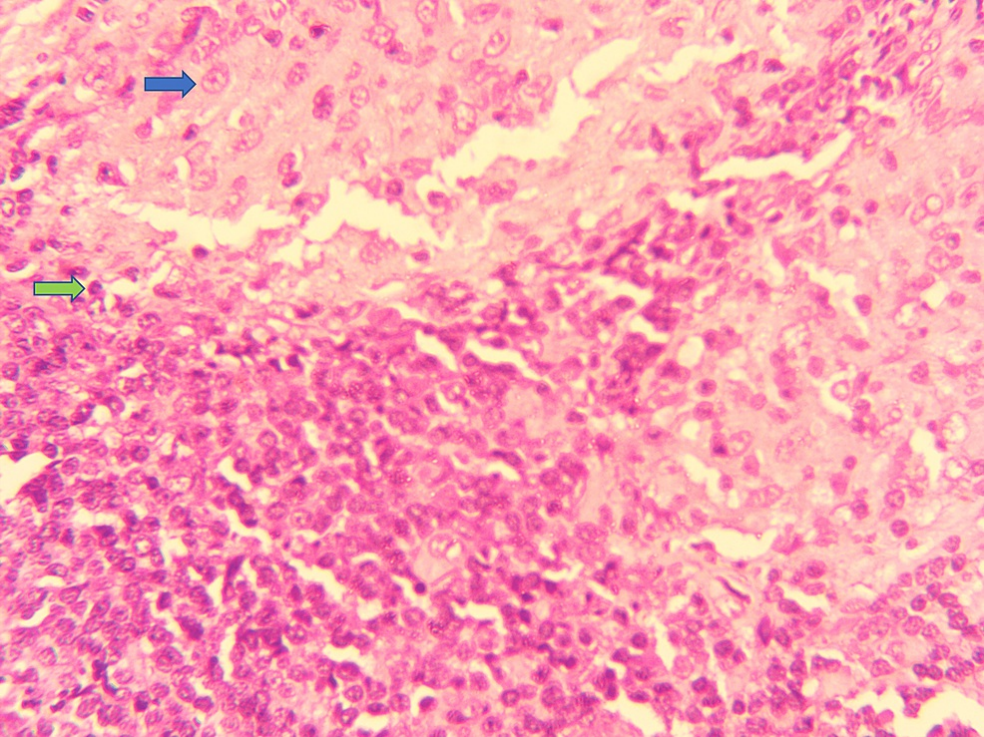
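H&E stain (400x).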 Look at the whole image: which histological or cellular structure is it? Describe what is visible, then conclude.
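A pale aggregate of cells with abundant pink cytoplasm and oval nuclei. A denser band of darker-nucleated cells lies beside the pale aggregate. No area of structureless necrotic debris is seen within the aggregate.
Answer: non-caseating granuloma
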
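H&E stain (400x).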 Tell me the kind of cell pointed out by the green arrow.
Mature lymphocytes.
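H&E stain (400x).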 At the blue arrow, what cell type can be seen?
Epithelioid histiocytes.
